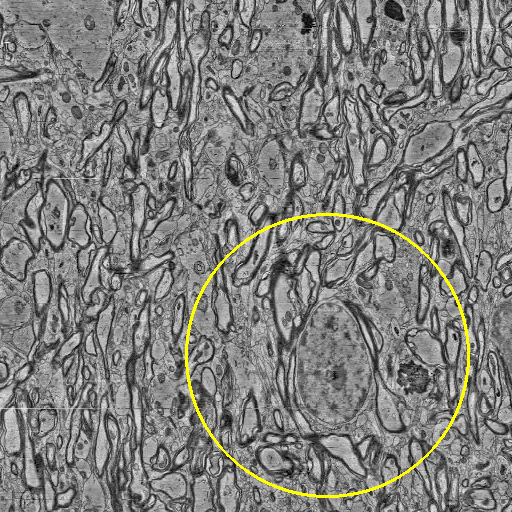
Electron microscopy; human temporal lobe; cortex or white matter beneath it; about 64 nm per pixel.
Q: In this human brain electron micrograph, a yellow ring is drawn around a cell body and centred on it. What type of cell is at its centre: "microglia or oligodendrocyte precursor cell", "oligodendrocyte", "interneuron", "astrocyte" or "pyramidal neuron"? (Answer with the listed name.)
microglia or oligodendrocyte precursor cell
